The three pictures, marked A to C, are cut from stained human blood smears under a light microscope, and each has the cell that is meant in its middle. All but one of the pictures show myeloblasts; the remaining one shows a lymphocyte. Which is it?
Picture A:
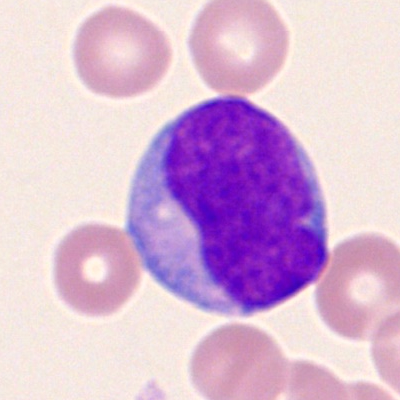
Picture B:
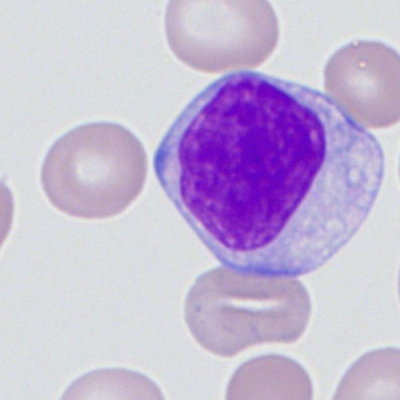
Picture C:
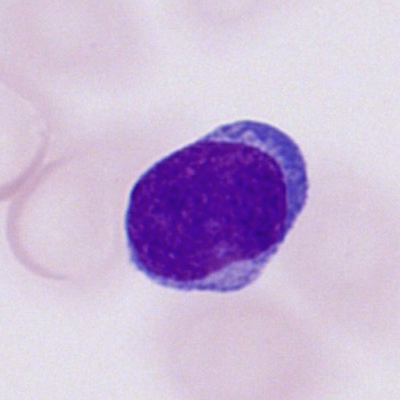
B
